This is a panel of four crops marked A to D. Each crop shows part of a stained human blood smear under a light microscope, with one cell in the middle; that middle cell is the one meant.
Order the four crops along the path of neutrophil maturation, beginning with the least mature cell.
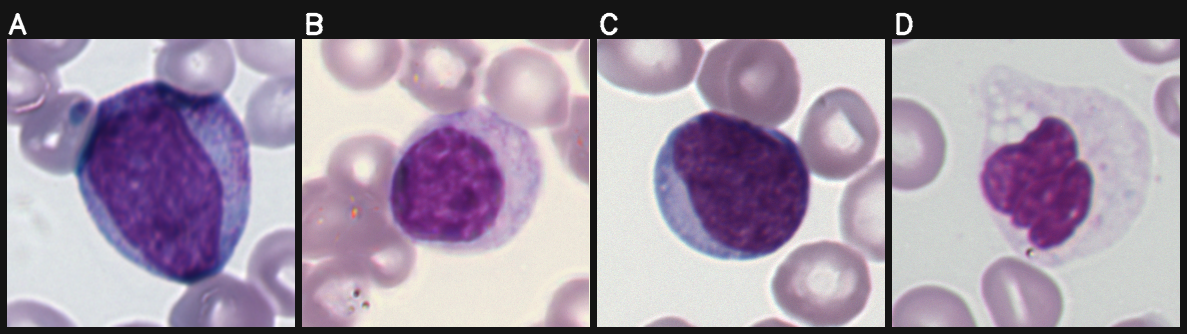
C, A, B, D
